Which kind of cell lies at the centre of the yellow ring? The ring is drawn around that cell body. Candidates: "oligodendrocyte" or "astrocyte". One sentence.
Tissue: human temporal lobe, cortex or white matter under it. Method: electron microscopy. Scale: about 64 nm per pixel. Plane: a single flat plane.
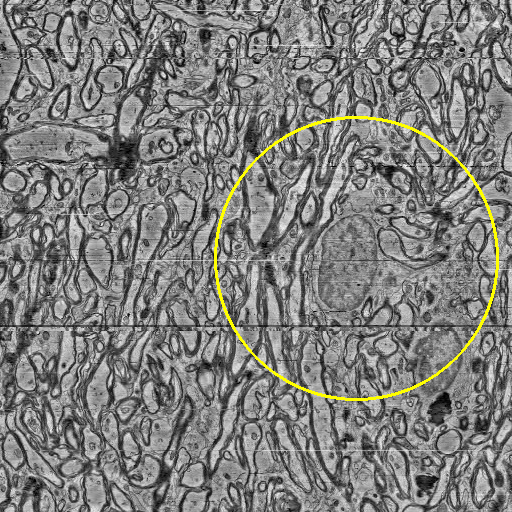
Lying at the centre of the ring is an oligodendrocyte.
